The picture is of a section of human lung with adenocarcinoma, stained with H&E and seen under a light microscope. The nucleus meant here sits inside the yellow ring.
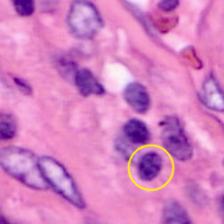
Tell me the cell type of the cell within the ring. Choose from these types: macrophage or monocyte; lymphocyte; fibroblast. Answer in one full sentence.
In this section of tissue, the cell within the ring is a lymphocyte.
